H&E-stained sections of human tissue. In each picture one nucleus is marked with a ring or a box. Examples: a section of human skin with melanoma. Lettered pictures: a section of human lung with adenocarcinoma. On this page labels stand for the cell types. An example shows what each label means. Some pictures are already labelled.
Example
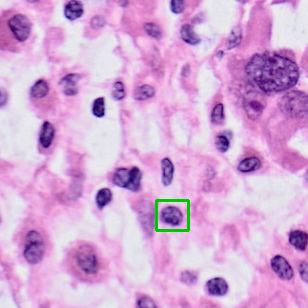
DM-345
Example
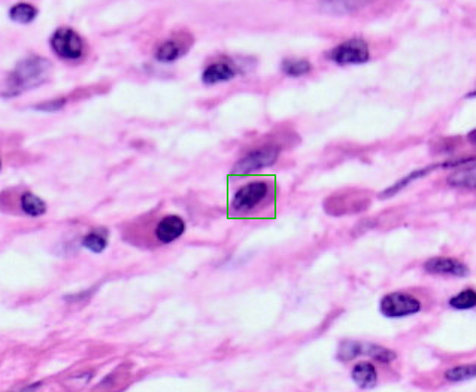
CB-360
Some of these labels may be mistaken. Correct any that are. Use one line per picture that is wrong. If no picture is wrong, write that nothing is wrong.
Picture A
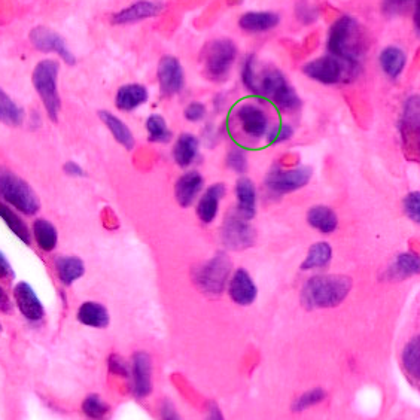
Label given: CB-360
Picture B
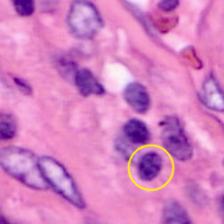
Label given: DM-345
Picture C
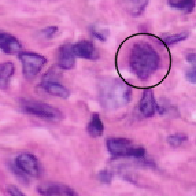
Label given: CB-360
No label is wrong.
